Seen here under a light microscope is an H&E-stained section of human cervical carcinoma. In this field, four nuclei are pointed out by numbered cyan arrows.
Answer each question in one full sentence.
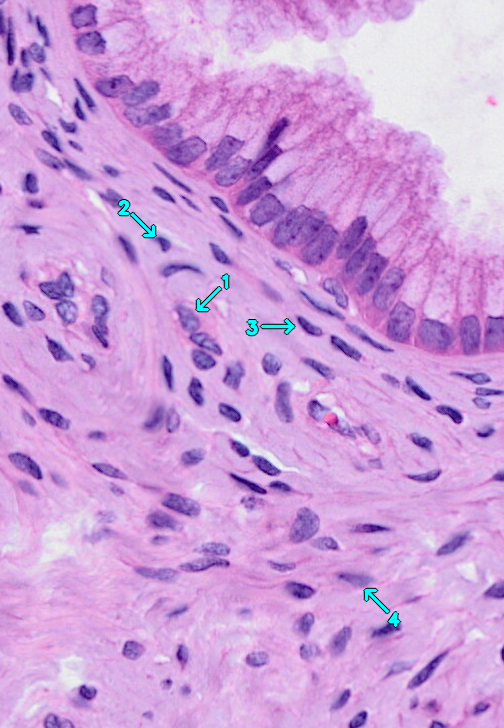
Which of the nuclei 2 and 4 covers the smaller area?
It is nucleus 2; nucleus 4 has about 2.5 times its area.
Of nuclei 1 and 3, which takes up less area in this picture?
Nucleus 3 is the smaller one; nucleus 1 covers about 1.5 times its area.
